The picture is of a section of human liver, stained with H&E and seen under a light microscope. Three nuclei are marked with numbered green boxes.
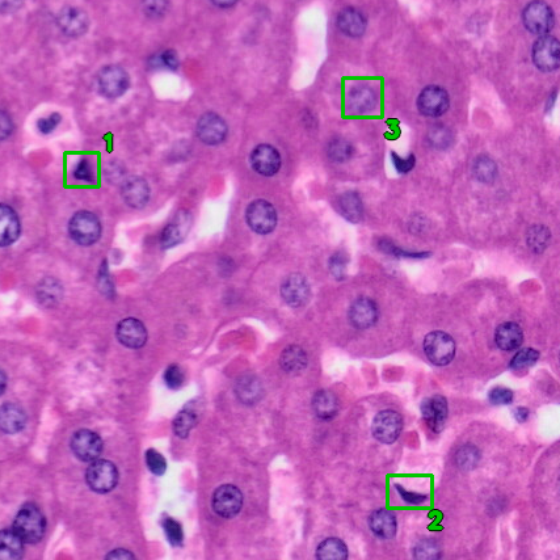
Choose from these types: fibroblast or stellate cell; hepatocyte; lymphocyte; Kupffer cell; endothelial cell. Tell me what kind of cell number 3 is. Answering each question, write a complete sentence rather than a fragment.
Cell 3 is classified as a hepatocyte.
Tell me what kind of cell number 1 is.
Here, the cell given the number 1 is a fibroblast or stellate cell.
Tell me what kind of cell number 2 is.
Identified by the number 2, the cell is an endothelial cell.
